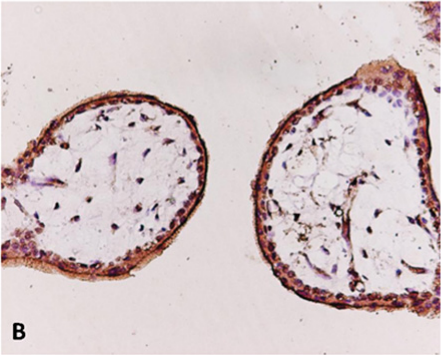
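Two rounded immature mesenchymal villi are seen in cross-section. Each has a loose, pale, watery stroma with widely spaced spindle and stellate cells bearing dark elongated nuclei and fine processes. The villi are covered by a two-layered trophoblast: an outer thin, continuous syncytiotrophoblast layer stained dark brown, and beneath it a row of rounded cytotrophoblast cells with round nuclei and light brown cytoplasm. At the upper right the covering thickens into a small cluster of trophoblast cells. The surrounding space is empty.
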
